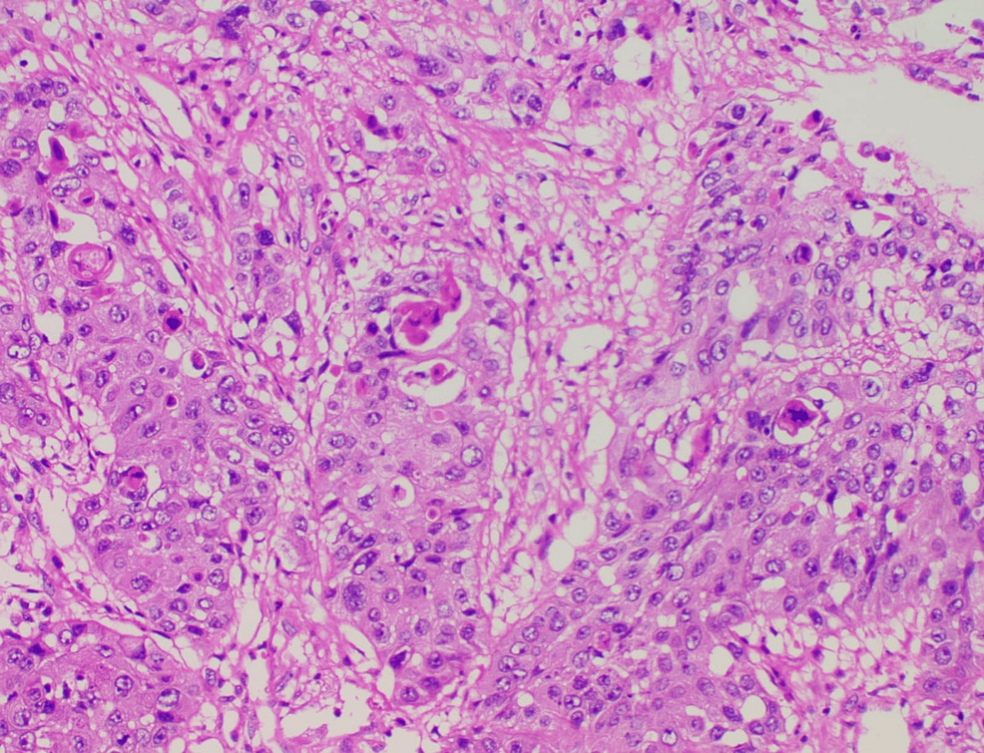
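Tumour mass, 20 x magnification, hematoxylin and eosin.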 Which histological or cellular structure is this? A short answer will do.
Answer: Solid sheets, trabeculae, and clusters.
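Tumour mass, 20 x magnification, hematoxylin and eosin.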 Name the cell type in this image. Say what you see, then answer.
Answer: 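Nuclei vary clearly in size and shape from cell to cell. Many nuclei are large, with vesicular chromatin and visible nucleoli. Cells have ample pink cytoplasm. That points to this answer: pleomorphic neoplastic cells.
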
